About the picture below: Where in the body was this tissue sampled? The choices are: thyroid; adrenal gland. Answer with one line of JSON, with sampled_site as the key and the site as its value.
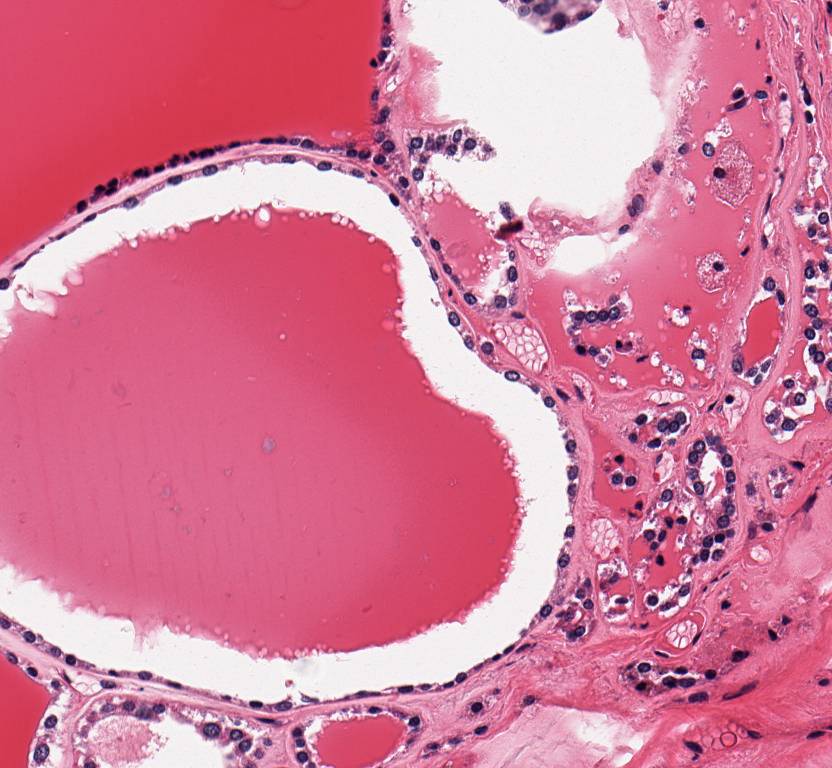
{"sampled_site": "thyroid"}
